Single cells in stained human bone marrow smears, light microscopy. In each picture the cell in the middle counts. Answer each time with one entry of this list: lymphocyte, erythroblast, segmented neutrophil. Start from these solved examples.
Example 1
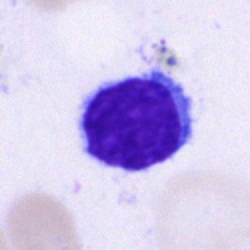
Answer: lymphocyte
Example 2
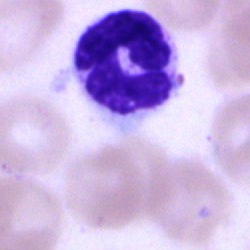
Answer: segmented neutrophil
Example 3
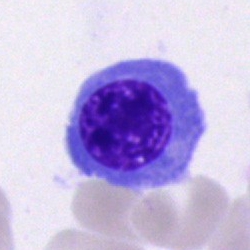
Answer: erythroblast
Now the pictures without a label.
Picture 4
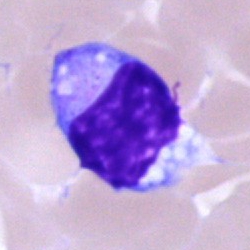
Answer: lymphocyte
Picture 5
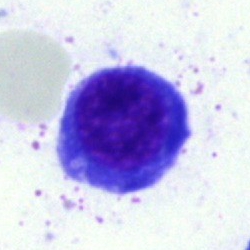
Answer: erythroblast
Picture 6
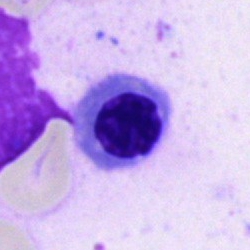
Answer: erythroblast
